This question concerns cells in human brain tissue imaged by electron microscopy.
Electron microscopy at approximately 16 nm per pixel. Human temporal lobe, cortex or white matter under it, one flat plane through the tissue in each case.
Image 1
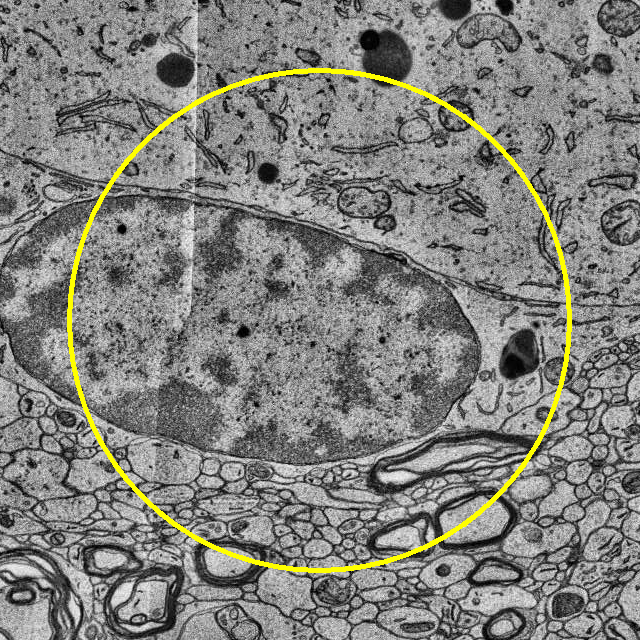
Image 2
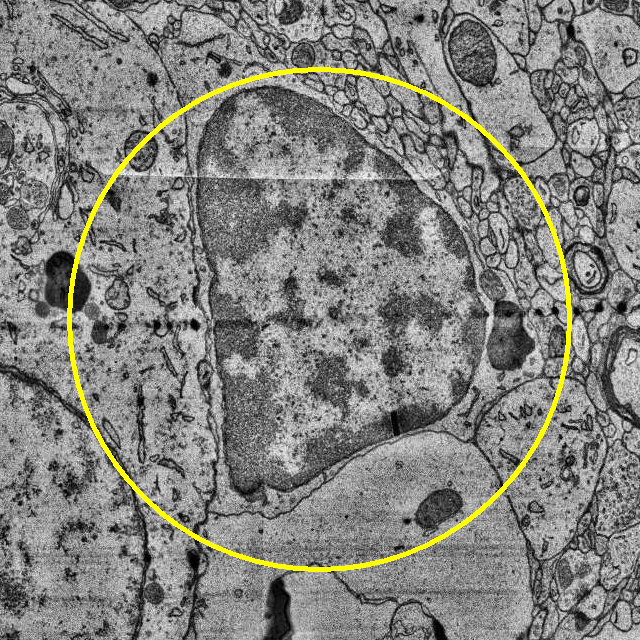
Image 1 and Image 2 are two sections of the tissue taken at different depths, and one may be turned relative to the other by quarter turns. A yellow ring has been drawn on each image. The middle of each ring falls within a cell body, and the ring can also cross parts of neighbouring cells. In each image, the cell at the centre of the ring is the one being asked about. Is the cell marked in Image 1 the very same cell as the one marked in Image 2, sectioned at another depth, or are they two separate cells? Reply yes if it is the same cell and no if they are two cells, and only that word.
no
